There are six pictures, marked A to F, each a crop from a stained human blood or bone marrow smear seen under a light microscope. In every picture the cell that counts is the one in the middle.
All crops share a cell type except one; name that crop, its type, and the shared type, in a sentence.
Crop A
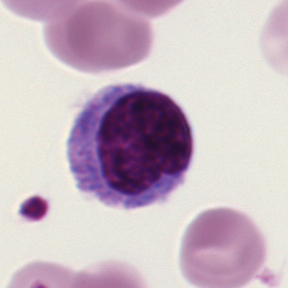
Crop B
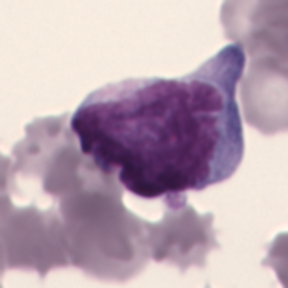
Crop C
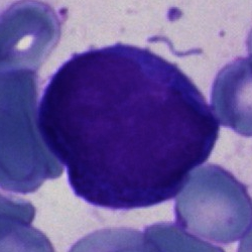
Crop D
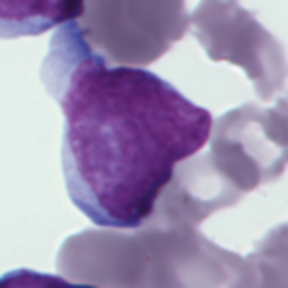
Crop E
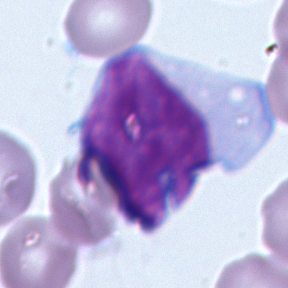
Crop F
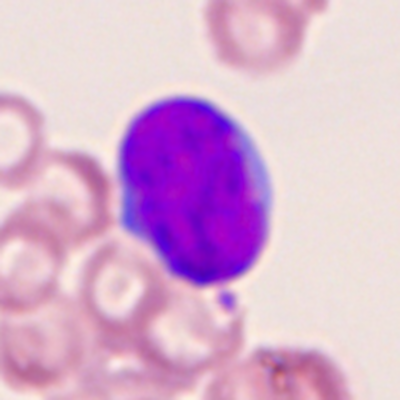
The crop that differs is crop A, showing a monocyte; the others show blasts.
